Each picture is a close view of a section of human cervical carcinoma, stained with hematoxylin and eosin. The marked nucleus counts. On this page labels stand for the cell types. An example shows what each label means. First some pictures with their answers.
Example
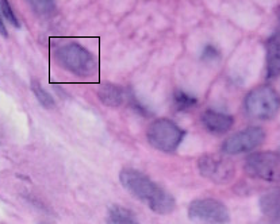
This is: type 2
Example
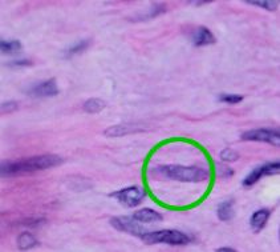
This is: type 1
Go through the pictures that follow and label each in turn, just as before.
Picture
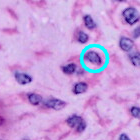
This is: type 1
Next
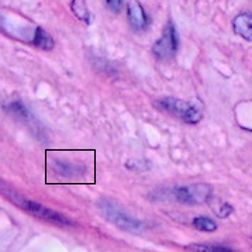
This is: type 1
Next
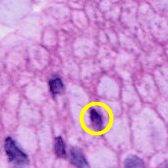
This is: type 2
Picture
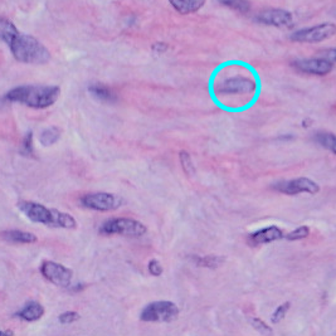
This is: type 1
